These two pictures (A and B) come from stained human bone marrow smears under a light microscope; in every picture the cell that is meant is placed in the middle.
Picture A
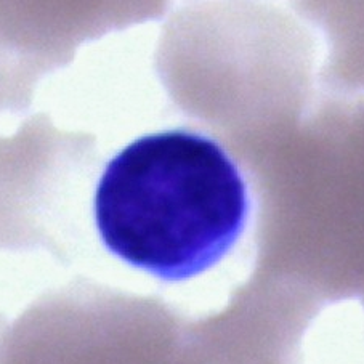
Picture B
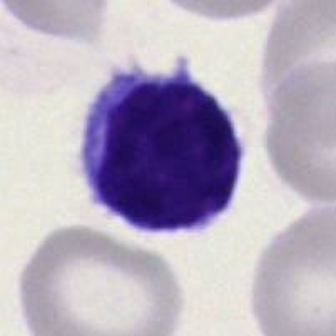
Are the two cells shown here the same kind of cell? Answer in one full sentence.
Yes, both cells are lymphocytes.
